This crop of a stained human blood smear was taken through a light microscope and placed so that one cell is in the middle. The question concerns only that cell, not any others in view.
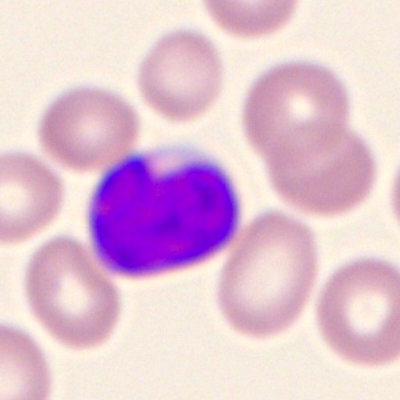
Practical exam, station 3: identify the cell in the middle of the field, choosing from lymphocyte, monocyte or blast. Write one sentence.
The cell that lies at the centre of the crop is a lymphocyte.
